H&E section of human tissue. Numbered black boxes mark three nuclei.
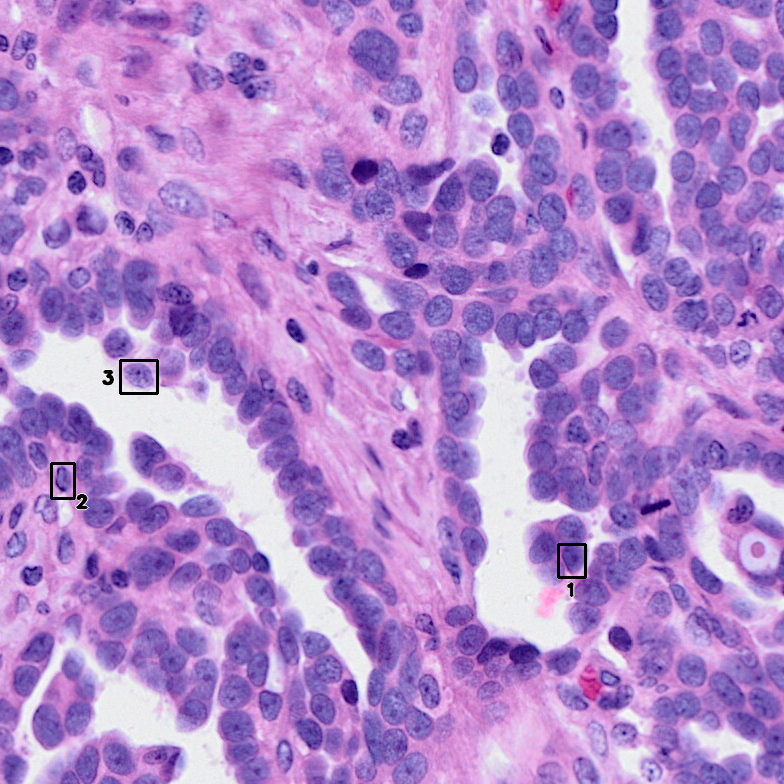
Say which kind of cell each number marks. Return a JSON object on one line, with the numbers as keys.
{"1": "carcinoma cell", "2": "macrophage or monocyte", "3": "macrophage or monocyte"}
